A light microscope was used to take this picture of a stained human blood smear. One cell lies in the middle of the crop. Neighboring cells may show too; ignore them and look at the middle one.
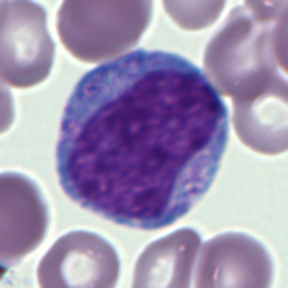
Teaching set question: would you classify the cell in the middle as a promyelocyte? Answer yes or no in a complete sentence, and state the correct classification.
Yes, the cell at the middle is a promyelocyte.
